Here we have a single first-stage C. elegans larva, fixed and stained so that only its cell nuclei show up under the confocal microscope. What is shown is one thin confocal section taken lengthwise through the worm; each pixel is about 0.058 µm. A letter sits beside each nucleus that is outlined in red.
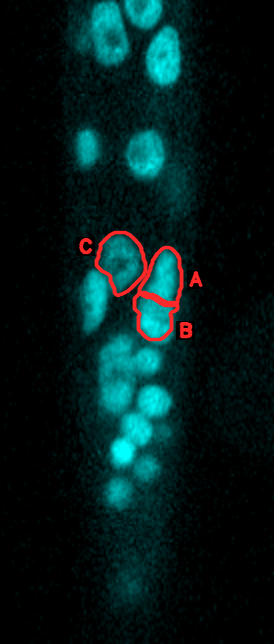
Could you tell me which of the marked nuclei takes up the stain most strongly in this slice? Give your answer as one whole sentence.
B is stained most strongly in this section.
